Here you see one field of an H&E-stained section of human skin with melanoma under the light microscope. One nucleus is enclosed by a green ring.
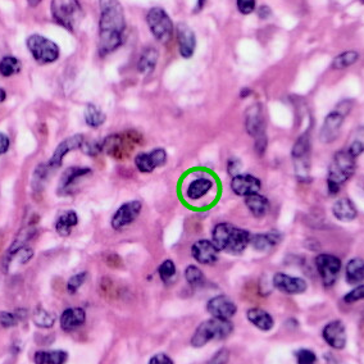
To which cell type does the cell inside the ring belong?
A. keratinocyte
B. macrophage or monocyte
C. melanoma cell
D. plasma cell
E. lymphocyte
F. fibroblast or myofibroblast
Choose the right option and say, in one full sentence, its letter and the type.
The right pick is option E; the cell inside the ring is a lymphocyte.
